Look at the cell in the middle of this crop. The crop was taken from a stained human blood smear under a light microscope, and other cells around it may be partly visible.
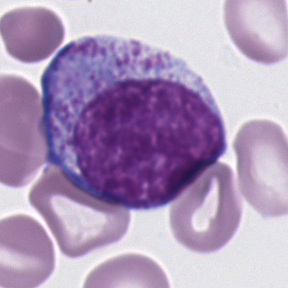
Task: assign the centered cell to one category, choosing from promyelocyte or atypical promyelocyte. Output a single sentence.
The crop shows a promyelocyte in its centre.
